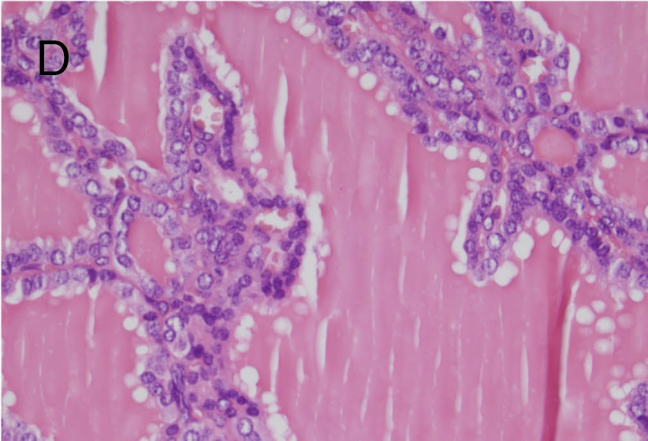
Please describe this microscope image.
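Thyroid follicular cells forming branching strands and small papilla-like projections that extend into large pools of pink colloid. The cells are cuboidal to columnar with scant pale cytoplasm. Their nuclei are oval, crowded and overlapping, with pale, cleared chromatin, while some appear darker. Small follicles with little colloid lie within the cell strands. Rows of small clear vacuoles line the colloid where it meets the epithelium. The colloid shows artefactual cracks running across it.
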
